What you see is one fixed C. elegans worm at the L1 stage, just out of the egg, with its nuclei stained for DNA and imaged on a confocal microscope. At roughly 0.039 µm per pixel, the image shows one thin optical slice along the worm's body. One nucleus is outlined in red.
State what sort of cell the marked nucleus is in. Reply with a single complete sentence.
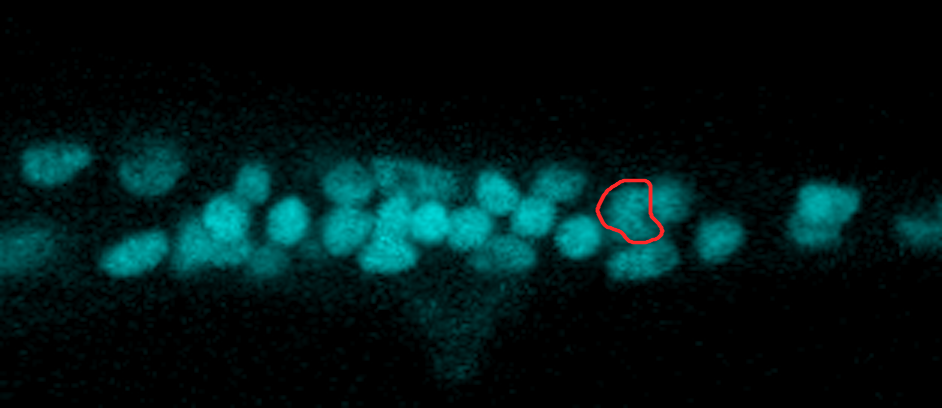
What is marked is the nucleus of a seam cell.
